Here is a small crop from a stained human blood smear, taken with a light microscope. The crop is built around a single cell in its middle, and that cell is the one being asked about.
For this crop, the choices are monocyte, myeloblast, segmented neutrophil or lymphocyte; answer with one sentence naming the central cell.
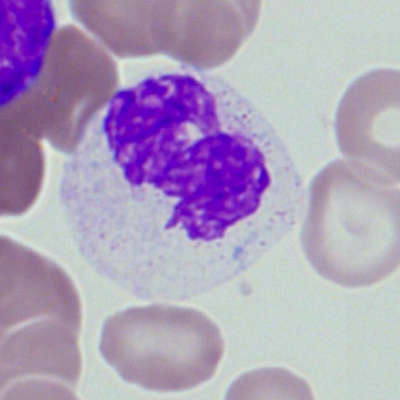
This crop has a segmented neutrophil at its centre.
